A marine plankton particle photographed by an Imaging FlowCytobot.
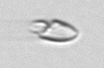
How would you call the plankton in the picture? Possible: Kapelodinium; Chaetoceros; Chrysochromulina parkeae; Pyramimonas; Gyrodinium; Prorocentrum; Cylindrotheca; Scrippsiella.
I would call it Kapelodinium.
